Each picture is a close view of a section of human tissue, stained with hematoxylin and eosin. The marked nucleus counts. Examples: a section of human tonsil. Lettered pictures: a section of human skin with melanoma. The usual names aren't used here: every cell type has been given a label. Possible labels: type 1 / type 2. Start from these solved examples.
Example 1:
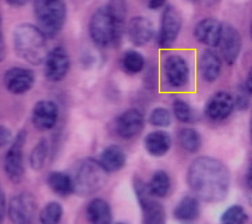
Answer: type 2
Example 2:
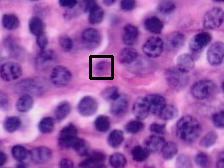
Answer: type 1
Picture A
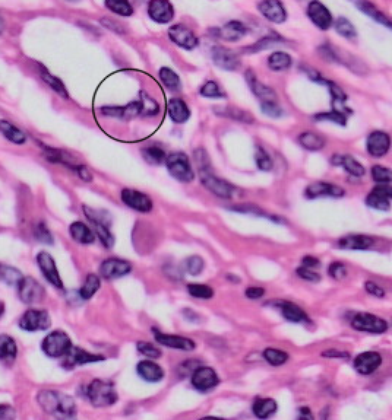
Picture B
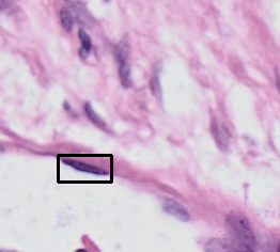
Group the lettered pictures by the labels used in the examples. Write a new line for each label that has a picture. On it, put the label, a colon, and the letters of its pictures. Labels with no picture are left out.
type 1: A, B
